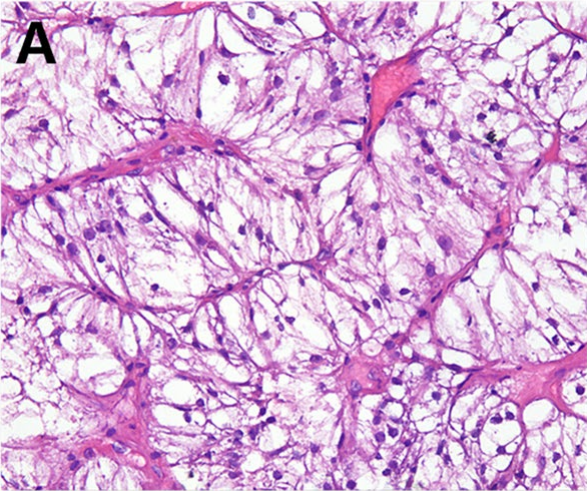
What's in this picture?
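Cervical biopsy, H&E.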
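Sheets of large polygonal epithelioid cells are grouped into nests separated by thin pink fibrovascular septa. Most cells have abundant pale, clear cytoplasm crossed by fine wispy strands, with sharp thin cell borders. The nuclei are fairly uniform and dark purple. The pattern is one of clear-cell epithelioid tumor cells in a nested arrangement.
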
